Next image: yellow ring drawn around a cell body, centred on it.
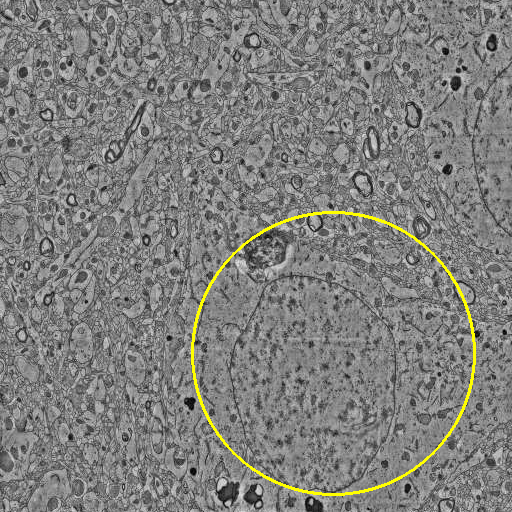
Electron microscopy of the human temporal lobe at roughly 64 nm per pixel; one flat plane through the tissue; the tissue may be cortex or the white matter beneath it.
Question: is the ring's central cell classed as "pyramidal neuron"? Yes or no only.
yes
